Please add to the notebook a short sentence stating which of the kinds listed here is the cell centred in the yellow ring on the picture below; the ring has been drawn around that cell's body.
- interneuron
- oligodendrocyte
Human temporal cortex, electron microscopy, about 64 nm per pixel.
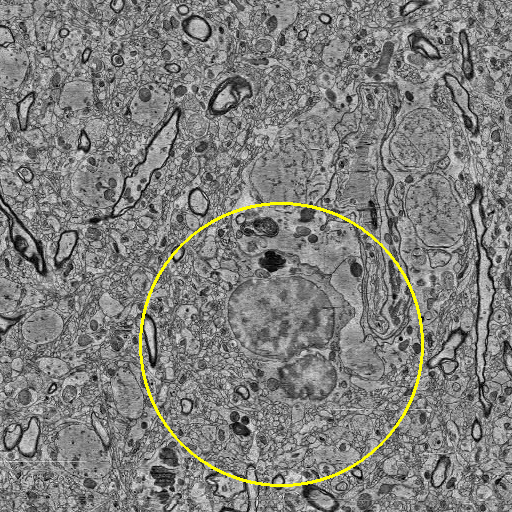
The cell centred in the yellow ring is an oligodendrocyte.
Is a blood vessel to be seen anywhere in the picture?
Yes, a vessel shows somewhere in the image.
